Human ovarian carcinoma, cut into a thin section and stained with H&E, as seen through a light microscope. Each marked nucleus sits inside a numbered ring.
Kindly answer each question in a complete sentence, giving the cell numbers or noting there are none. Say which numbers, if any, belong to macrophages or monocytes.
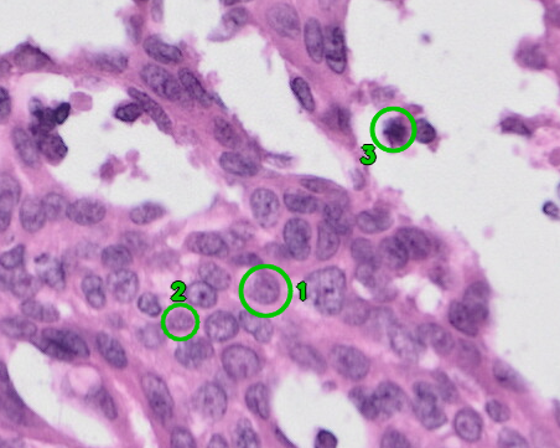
Only the nucleus marked 3 is that of a macrophage or monocyte.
